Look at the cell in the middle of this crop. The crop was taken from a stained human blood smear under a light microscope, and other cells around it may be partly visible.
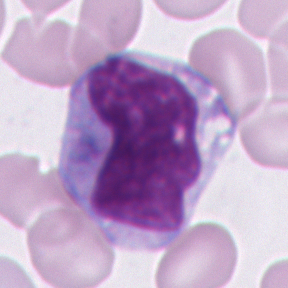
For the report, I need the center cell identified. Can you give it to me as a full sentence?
This crop has a monocyte at its centre.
